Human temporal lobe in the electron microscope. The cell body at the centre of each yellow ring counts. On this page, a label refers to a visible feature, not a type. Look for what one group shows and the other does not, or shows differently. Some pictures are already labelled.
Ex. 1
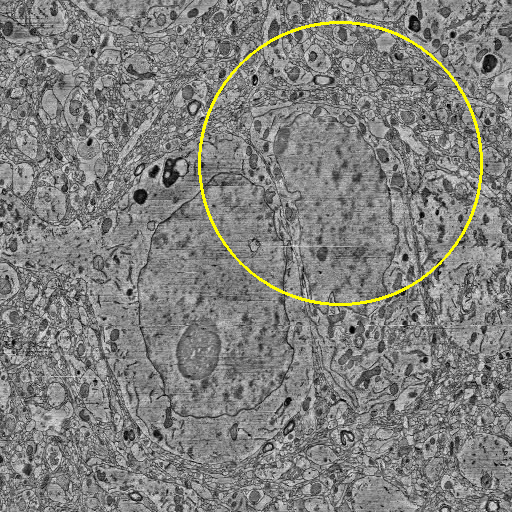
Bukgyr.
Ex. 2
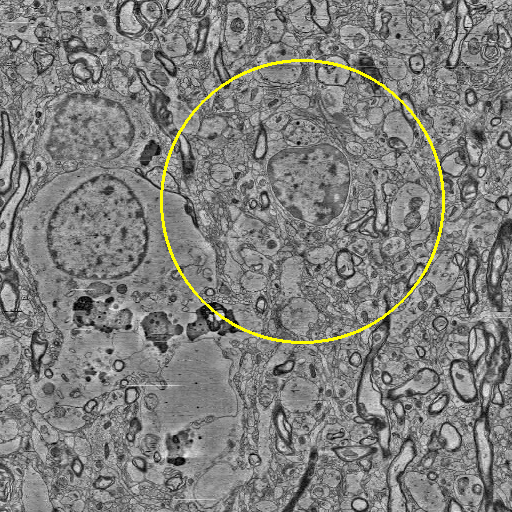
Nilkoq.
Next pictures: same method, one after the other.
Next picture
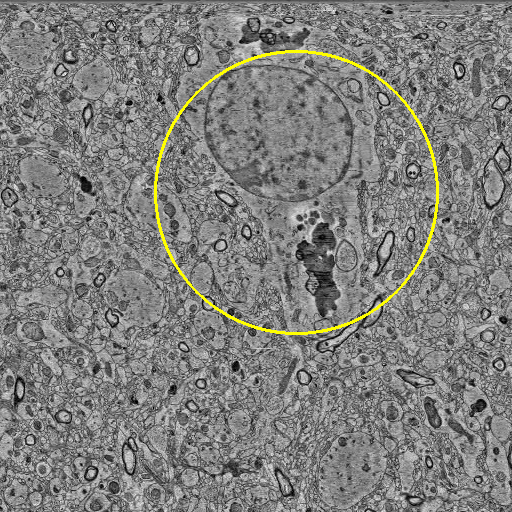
Nilkoq.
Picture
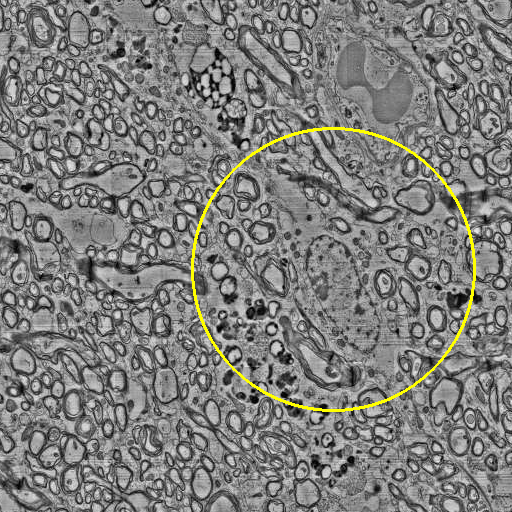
Bukgyr.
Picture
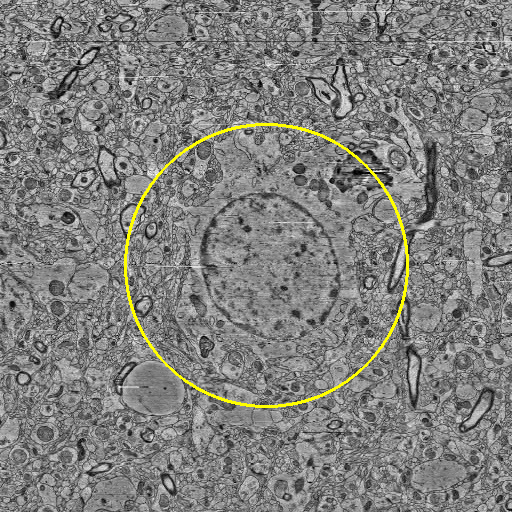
Nilkoq.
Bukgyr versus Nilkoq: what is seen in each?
Bukgyr, clearly elongated nuclei; Nilkoq, round or nearly round nuclei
